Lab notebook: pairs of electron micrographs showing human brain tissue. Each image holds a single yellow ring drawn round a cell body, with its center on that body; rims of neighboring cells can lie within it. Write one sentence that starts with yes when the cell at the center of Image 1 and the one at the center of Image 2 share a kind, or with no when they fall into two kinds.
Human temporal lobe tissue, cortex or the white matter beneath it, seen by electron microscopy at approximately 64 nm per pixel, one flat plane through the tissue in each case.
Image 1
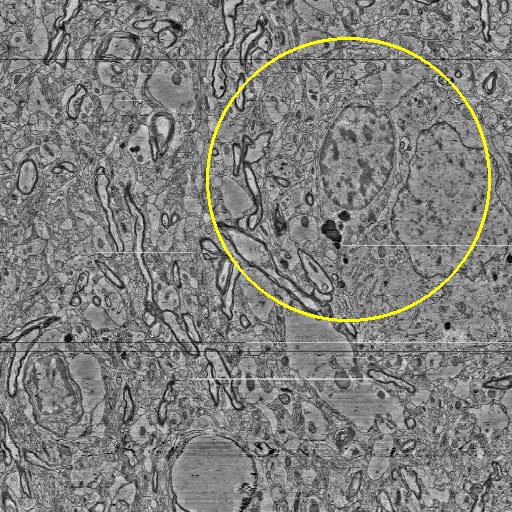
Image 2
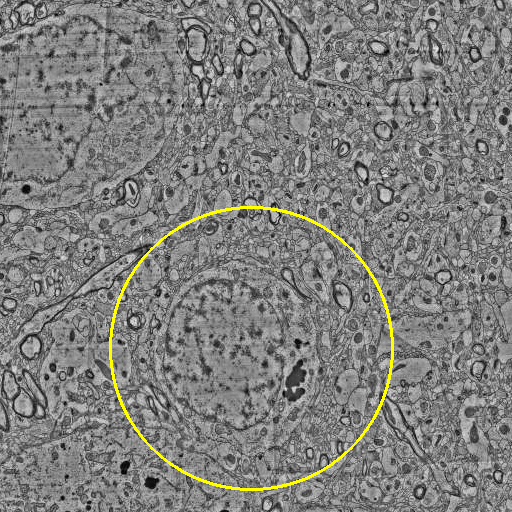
No, the centered cell in Image 1 and the centered cell in Image 2 are of two kinds.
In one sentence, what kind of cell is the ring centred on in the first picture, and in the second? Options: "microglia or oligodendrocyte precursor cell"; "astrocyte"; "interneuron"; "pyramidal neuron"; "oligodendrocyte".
The cell at the centre of the second ring is an interneuron; the first ring's cell is an oligodendrocyte.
